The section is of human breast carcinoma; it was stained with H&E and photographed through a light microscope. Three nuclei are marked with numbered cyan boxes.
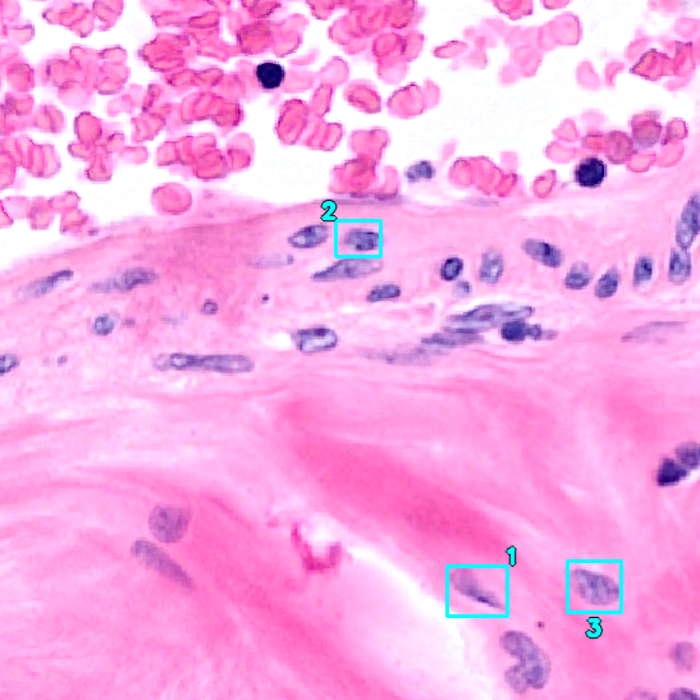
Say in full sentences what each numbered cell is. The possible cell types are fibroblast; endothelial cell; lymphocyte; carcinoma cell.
Cell 1 is a fibroblast, cell 2 is an endothelial cell and cell 3 is a fibroblast.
